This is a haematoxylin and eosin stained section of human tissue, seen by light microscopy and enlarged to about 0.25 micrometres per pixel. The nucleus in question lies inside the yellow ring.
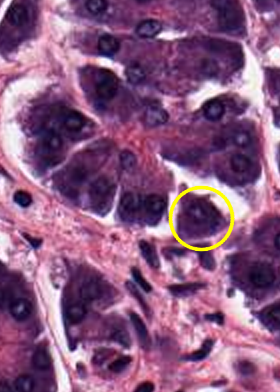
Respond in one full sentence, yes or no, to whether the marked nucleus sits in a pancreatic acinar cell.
Yes, the marked nucleus sits in a pancreatic acinar cell.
